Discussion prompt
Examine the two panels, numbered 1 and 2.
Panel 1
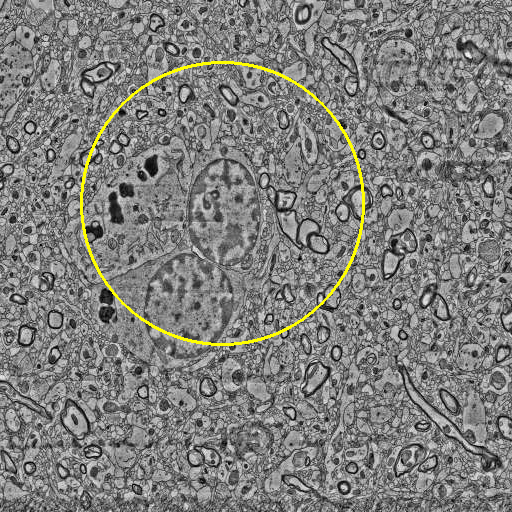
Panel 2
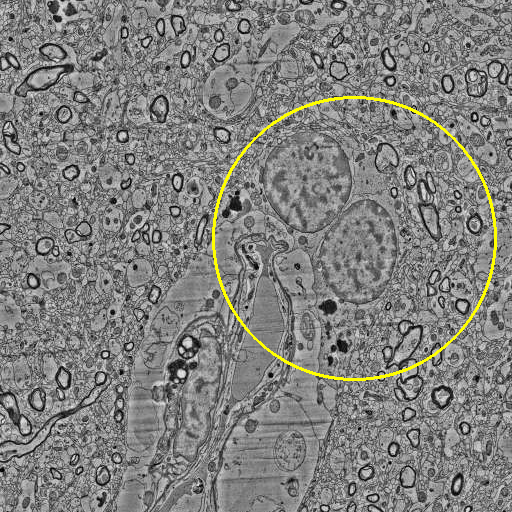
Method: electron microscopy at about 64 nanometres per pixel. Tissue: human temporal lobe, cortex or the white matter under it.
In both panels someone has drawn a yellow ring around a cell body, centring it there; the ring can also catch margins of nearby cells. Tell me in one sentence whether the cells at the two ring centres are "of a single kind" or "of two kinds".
Taken together, the two cells centred in the rings of Panels 1 and 2 are of a single kind.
